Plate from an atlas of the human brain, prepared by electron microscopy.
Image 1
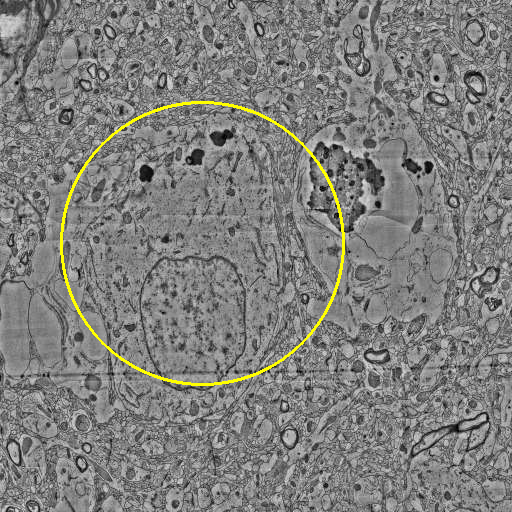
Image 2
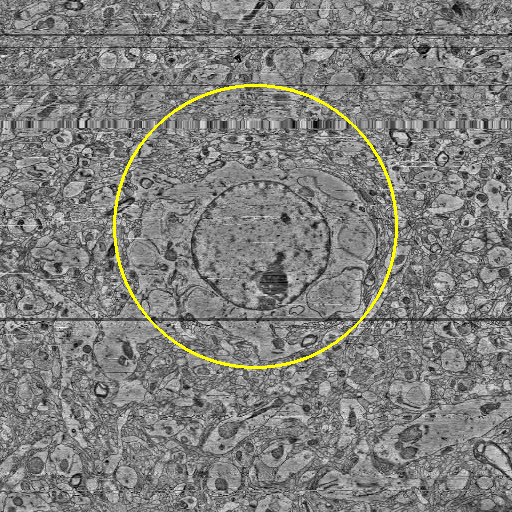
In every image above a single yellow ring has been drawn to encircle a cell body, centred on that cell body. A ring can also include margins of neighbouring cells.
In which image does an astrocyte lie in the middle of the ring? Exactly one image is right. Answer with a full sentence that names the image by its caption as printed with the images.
Image 2 holds the requested cell at the very centre of its ring.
